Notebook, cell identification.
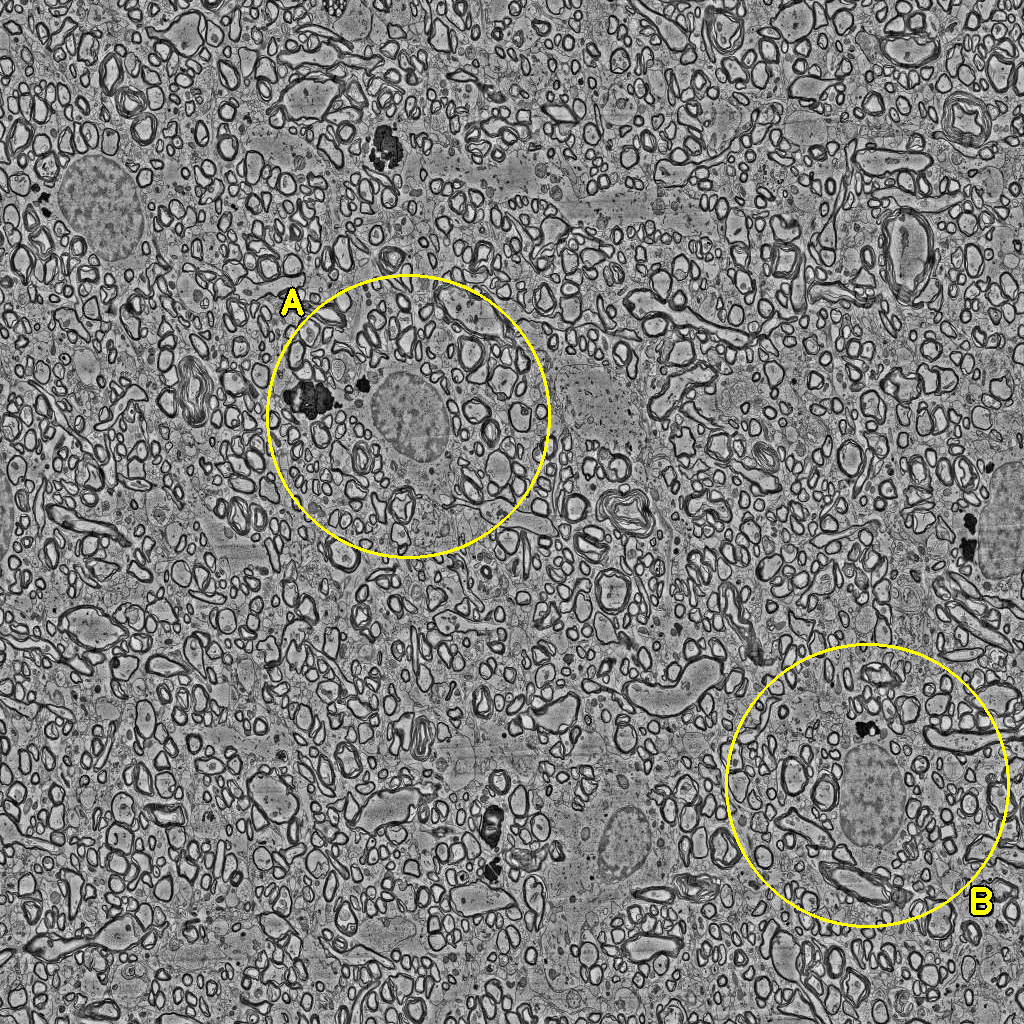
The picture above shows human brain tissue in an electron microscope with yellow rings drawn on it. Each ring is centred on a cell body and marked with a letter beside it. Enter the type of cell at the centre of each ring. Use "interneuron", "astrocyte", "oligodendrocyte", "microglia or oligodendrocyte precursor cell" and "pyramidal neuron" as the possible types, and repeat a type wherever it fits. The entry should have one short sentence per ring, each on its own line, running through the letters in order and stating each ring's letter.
The cell body in ring A belongs to an oligodendrocyte.
The cell body in ring B belongs to an oligodendrocyte.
